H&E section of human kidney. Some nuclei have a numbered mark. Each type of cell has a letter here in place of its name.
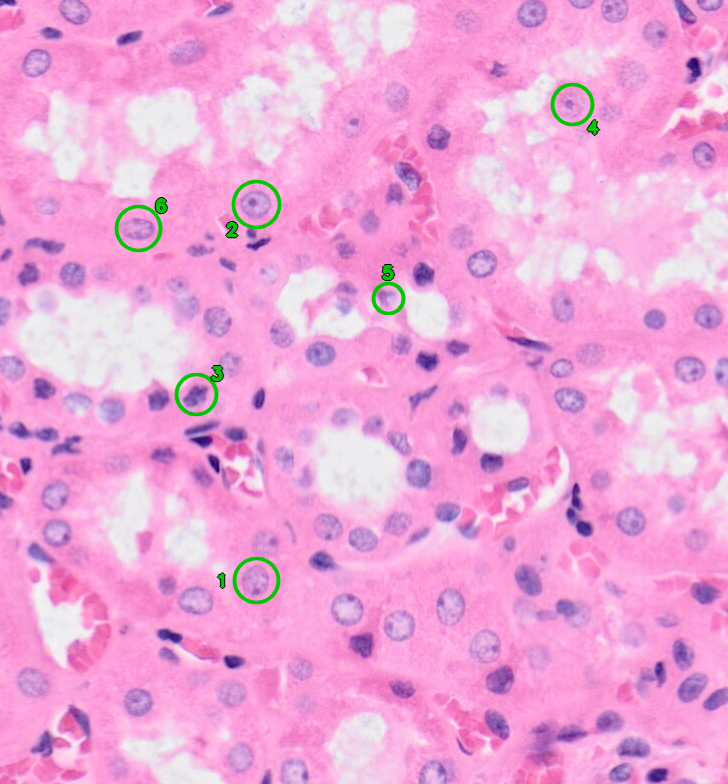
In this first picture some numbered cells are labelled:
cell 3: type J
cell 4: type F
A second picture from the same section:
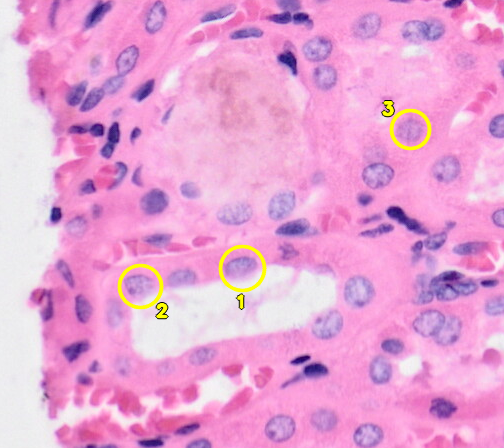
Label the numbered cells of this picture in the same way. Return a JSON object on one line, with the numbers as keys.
{"1": "type J", "2": "type J", "3": "type F"}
